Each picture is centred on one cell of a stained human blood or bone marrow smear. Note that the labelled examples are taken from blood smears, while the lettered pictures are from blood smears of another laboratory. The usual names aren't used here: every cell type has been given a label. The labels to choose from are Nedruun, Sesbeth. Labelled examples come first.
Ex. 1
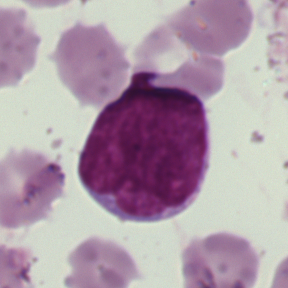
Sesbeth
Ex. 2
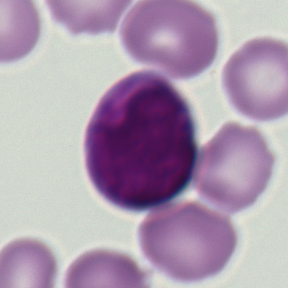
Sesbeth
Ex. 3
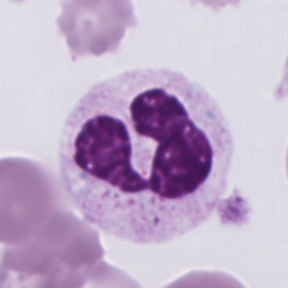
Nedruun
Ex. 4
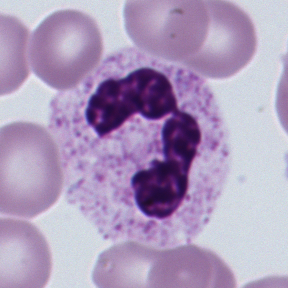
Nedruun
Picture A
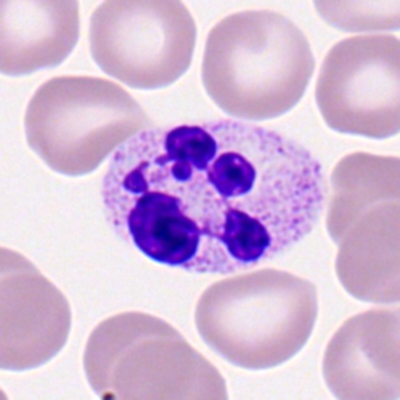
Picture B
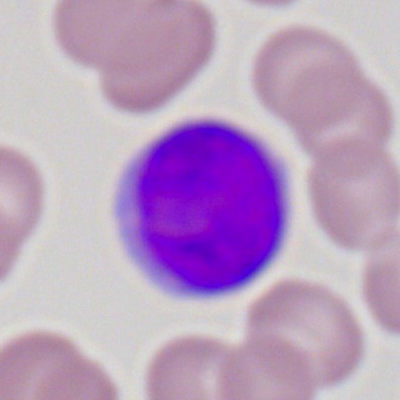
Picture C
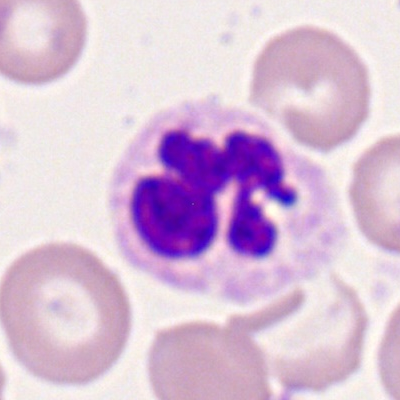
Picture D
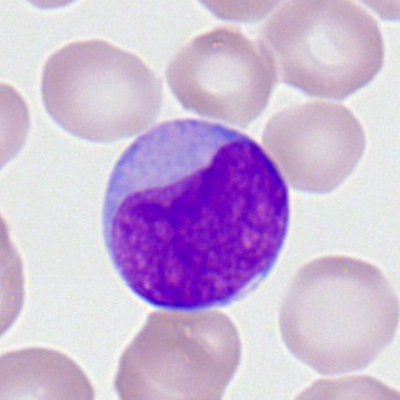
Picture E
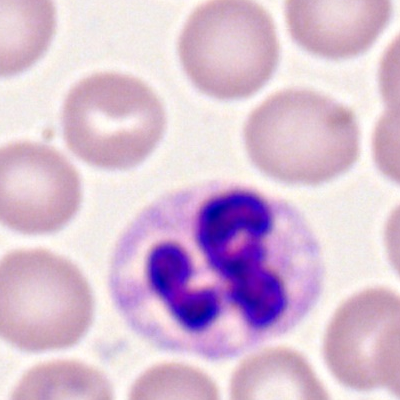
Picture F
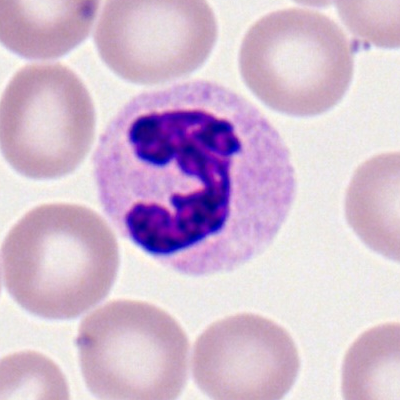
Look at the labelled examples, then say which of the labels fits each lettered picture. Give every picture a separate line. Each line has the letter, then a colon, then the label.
A: Nedruun
B: Sesbeth
C: Nedruun
D: Sesbeth
E: Nedruun
F: Nedruun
